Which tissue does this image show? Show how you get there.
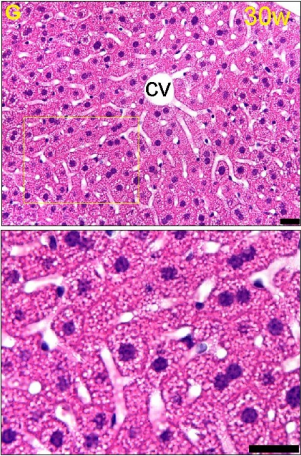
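Cords of polygonal pink cells with central round nuclei separated by narrow sinusoids. A central vessel lumen with cords radiating around it. So: liver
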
